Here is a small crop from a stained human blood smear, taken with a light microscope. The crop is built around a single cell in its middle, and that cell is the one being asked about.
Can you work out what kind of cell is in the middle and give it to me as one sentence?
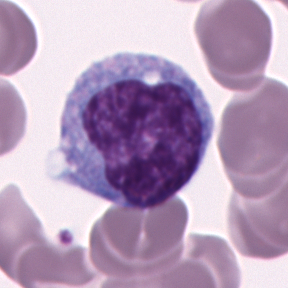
The cell marked by its central position in the crop is a monocyte.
